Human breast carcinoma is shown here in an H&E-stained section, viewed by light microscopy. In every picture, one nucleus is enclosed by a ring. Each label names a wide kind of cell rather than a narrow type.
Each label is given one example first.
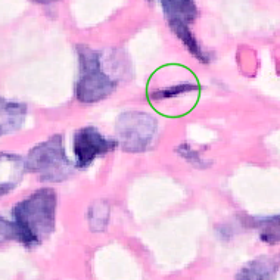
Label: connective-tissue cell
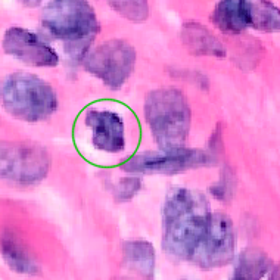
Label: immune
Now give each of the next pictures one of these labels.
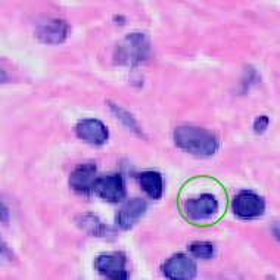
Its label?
immune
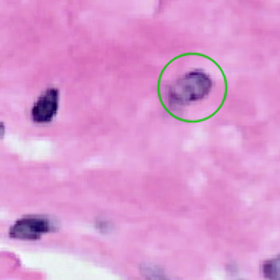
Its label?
immune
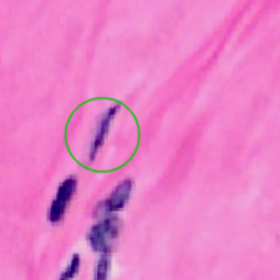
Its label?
connective-tissue cell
